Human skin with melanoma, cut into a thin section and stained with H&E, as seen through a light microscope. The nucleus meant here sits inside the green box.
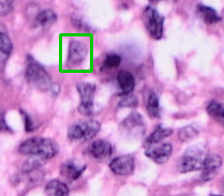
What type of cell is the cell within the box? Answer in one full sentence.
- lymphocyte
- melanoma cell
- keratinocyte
In this tissue section, the cell within the box is to be classed as a melanoma cell.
